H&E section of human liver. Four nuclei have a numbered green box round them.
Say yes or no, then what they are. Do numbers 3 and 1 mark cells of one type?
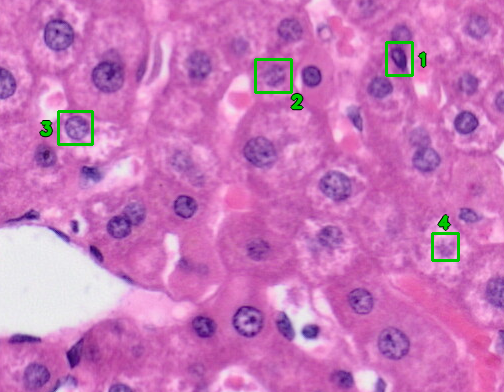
No, cell 3 here is a hepatocyte, and cell 1 here is a fibroblast or stellate cell.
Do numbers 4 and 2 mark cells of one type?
Yes, cells 4 and 2 both belong among the hepatocytes.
